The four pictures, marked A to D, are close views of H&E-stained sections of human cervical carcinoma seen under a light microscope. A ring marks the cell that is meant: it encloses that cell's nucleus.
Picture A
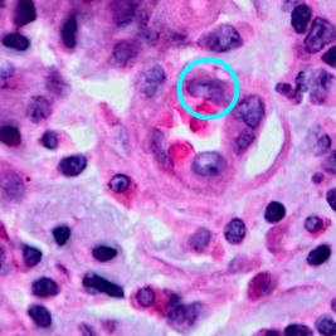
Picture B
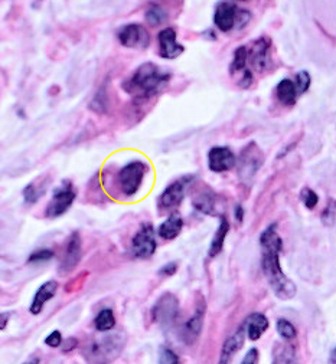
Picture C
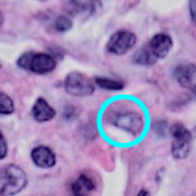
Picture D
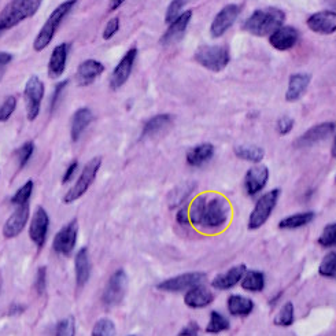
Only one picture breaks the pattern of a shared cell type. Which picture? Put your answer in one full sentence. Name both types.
Picture B is the odd one out: it shows a lymphocyte, while the others show endothelial cells.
